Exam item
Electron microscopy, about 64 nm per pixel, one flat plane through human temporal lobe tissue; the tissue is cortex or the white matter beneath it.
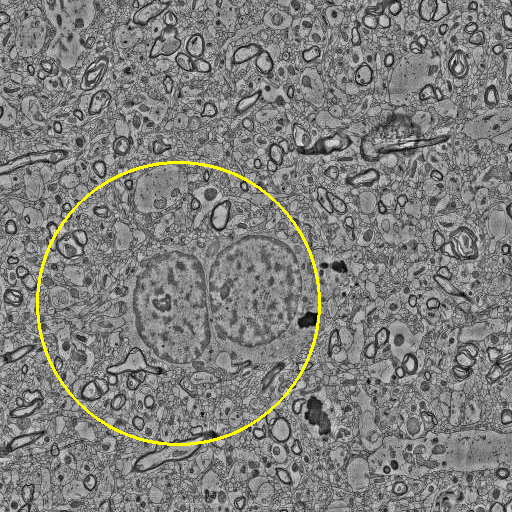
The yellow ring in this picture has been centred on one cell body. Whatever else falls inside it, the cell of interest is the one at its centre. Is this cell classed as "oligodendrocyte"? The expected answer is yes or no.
yes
